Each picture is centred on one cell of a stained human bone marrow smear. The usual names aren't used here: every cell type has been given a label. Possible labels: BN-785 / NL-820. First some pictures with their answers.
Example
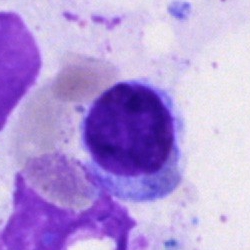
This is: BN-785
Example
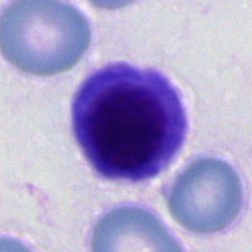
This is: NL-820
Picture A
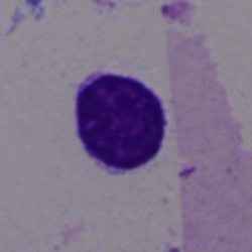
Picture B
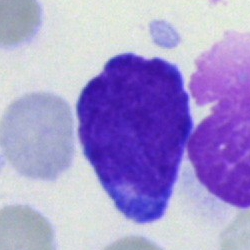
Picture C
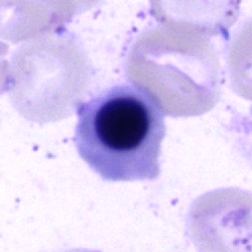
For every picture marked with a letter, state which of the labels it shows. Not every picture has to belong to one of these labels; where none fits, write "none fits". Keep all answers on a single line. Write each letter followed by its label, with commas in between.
A BN-785, B none fits, C NL-820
